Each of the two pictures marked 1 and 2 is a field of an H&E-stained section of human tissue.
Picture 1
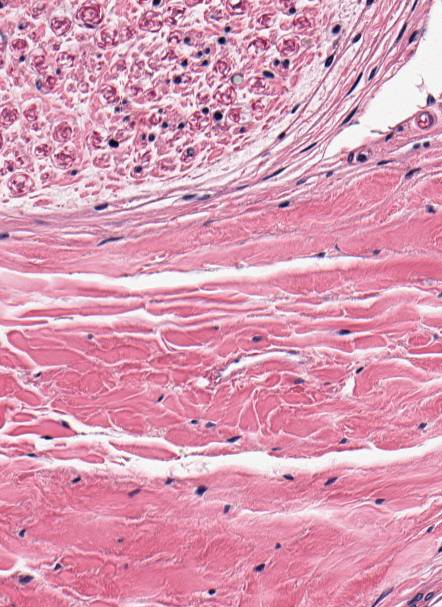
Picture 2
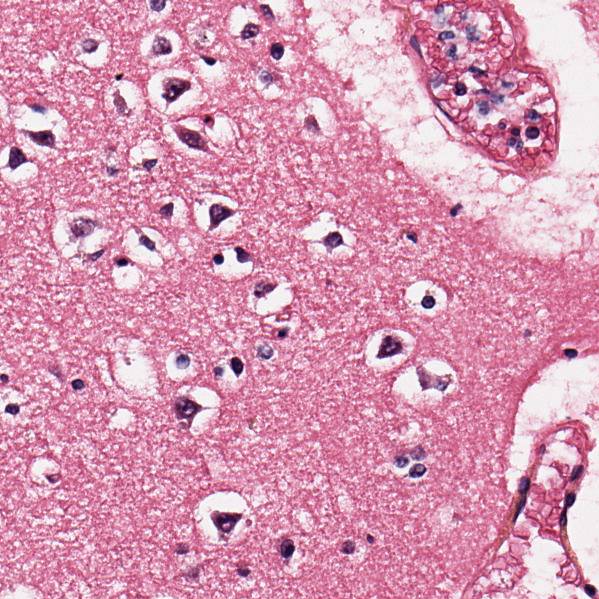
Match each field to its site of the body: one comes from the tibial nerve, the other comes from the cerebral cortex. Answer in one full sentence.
Picture 2 comes from the cerebral cortex, while picture 1 comes from the tibial nerve.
